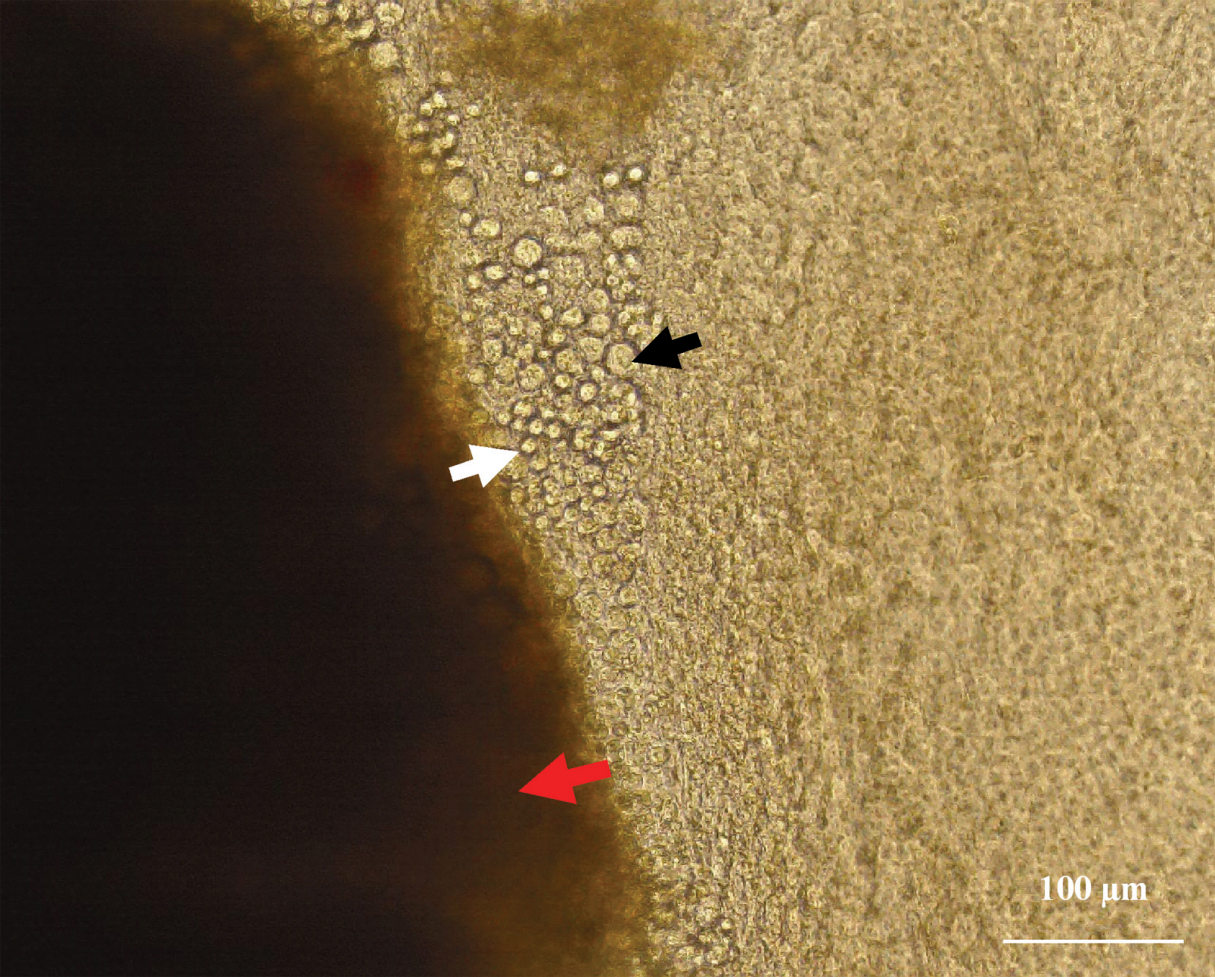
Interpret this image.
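The explant is a dark, opaque mass that occupies the left side of the field, and its edge runs roughly from top to bottom. A continuous sheet of closely packed, rounded cells extends outward from this edge. Farther away, toward the right, the cells look somewhat larger, and the sheet becomes finely textured and less distinct.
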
